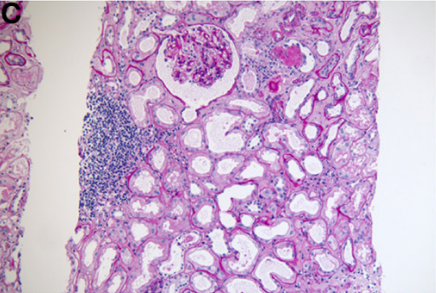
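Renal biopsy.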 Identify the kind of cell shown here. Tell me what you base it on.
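A dense focal cluster of small round dark nuclei in the interstitium. The cluster lies between tubules, apart from the glomerulus. So: focal lymphocytes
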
